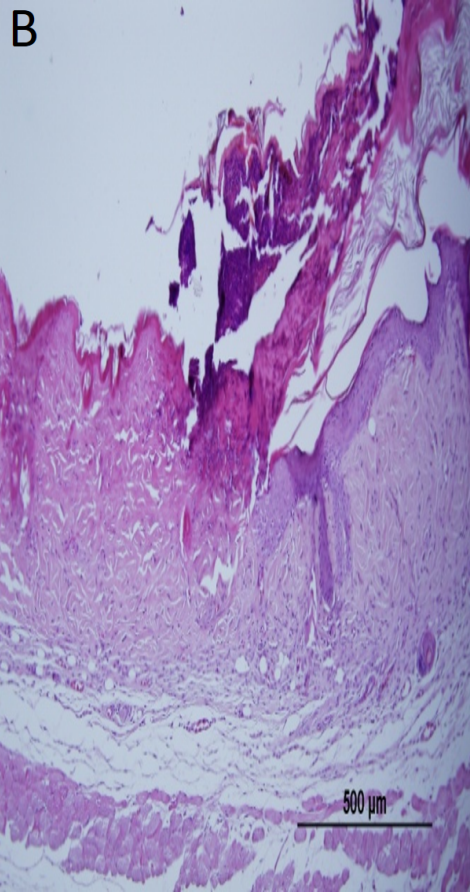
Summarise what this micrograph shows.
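Section of skin stained pink and purple, in which the epidermis is broad and uneven along its length. On its surface lies a dense, dark purple and red crust of keratin and debris, partly separated from the tissue by a cleft. The dermis below is formed of pink collagen bundles with few adnexal structures. Beneath a loose, pale layer, bundles of skeletal muscle run along the bottom of the section.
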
